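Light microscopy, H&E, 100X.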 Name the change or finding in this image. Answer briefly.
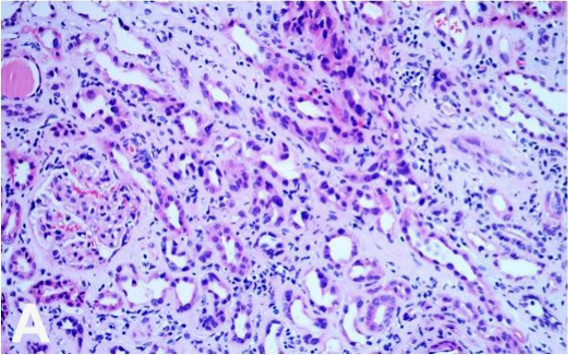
Enlarged and hyperchromatic nuclei.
